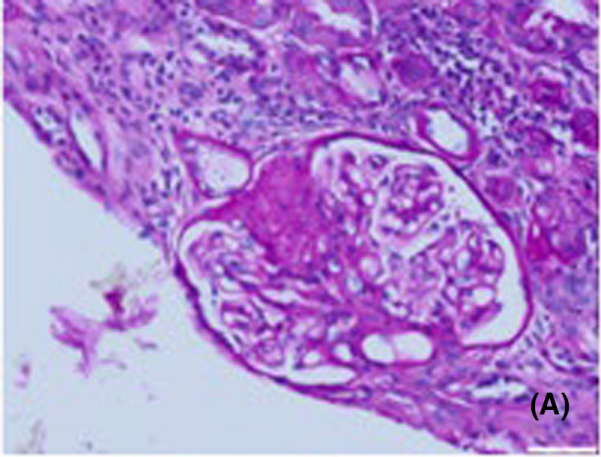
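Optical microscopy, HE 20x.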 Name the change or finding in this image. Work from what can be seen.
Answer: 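A round glomerular tuft sits inside a capsule.
Answer: Thickening and stiffening of the capillary walls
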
